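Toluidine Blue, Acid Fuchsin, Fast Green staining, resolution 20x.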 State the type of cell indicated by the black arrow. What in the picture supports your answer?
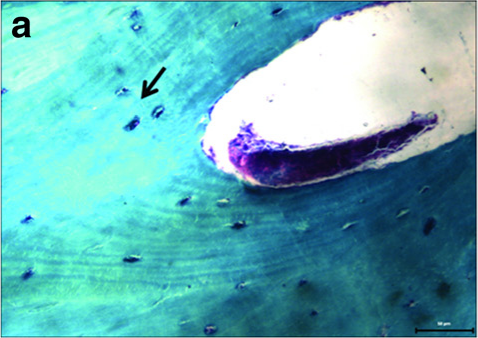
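Osteocytes. Small dark-blue elongated cells sit in lacunae within the bone matrix.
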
